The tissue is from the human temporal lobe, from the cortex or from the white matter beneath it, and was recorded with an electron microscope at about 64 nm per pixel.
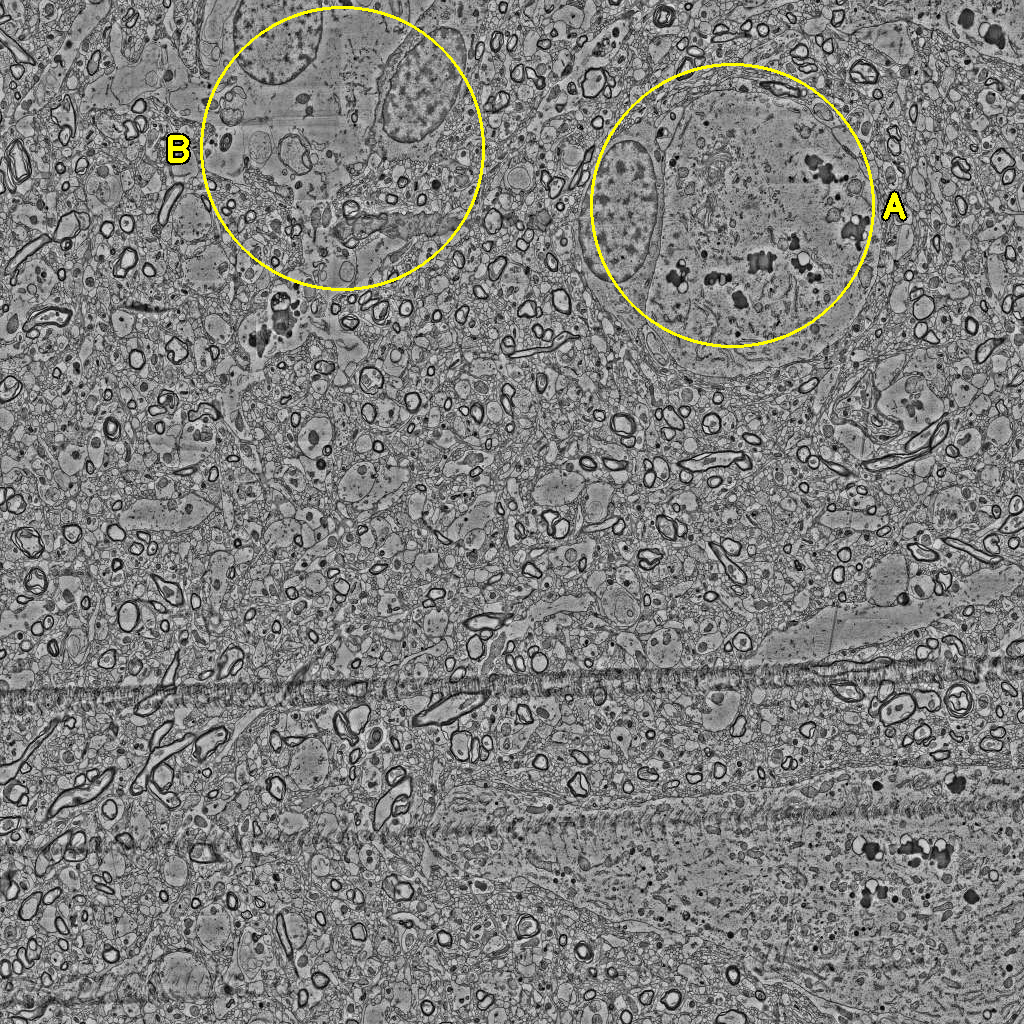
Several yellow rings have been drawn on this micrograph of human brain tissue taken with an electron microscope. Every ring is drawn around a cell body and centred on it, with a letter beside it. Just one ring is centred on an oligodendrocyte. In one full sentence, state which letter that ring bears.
At the centre of ring B is a cell of that kind.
